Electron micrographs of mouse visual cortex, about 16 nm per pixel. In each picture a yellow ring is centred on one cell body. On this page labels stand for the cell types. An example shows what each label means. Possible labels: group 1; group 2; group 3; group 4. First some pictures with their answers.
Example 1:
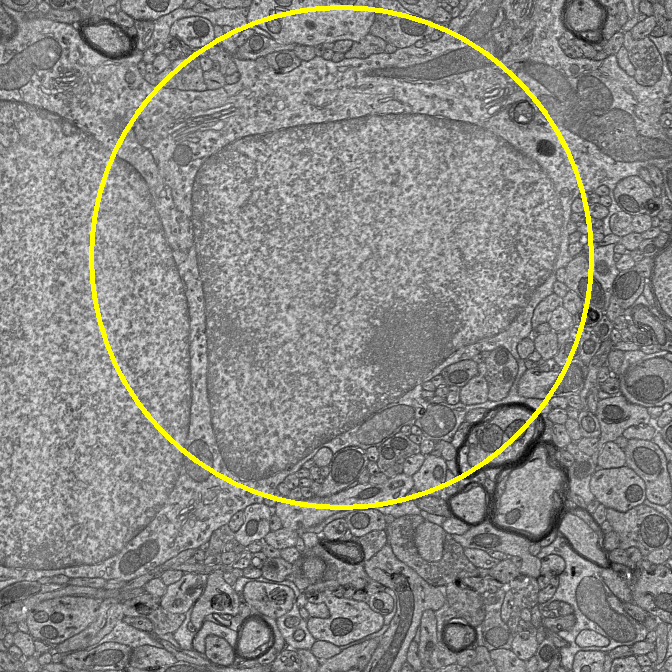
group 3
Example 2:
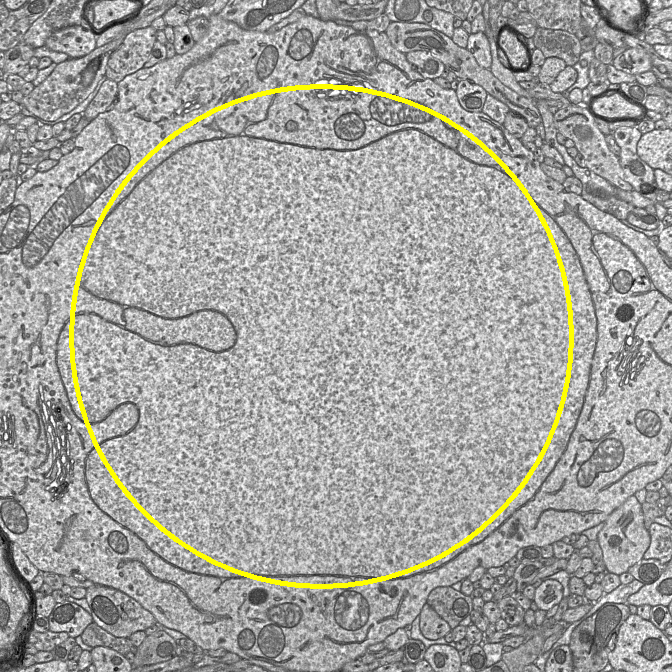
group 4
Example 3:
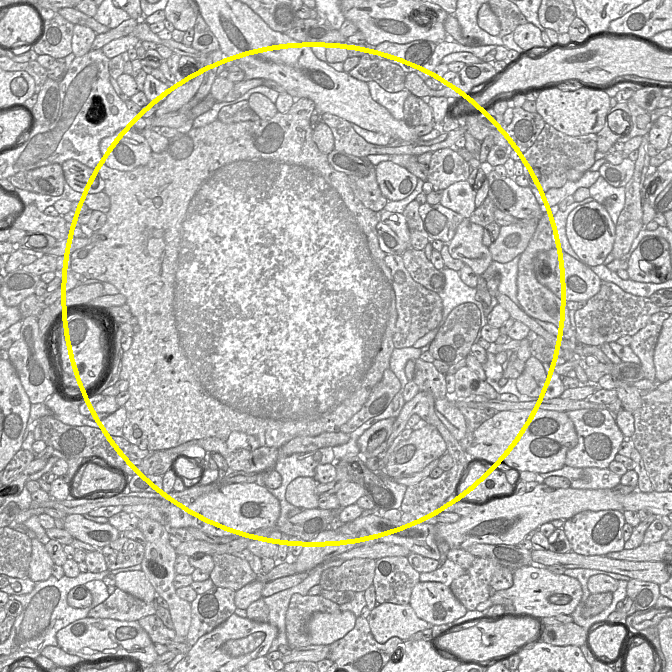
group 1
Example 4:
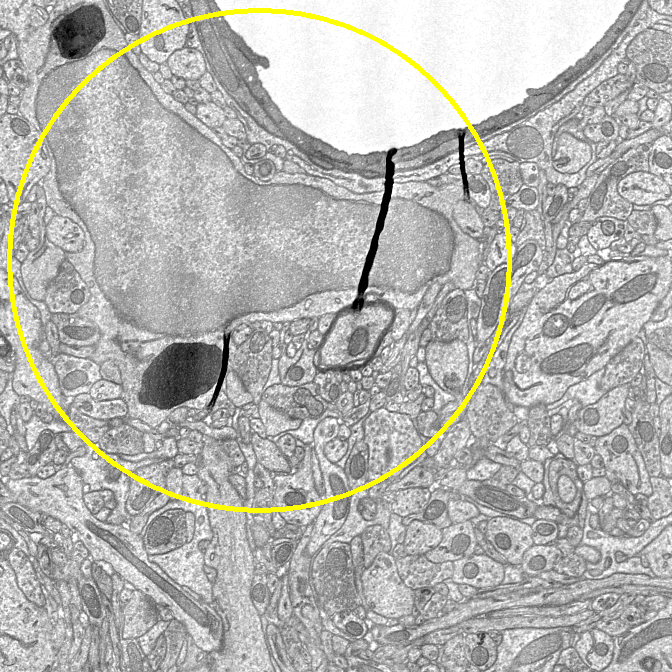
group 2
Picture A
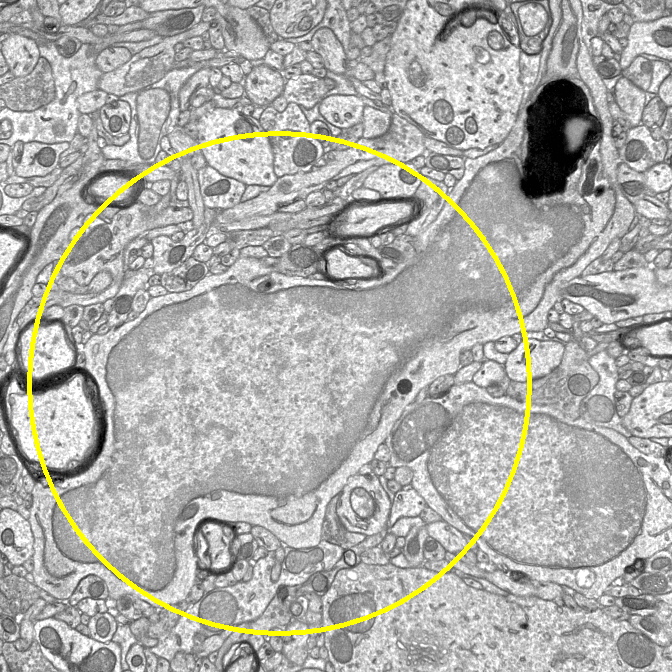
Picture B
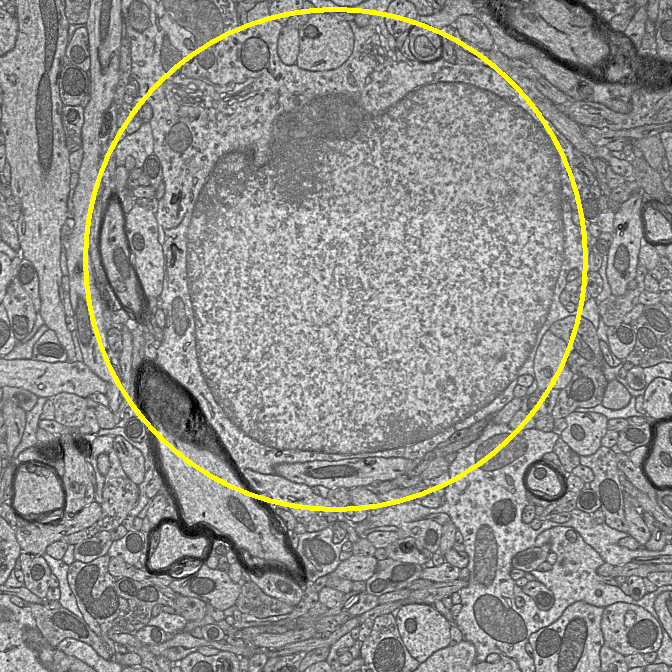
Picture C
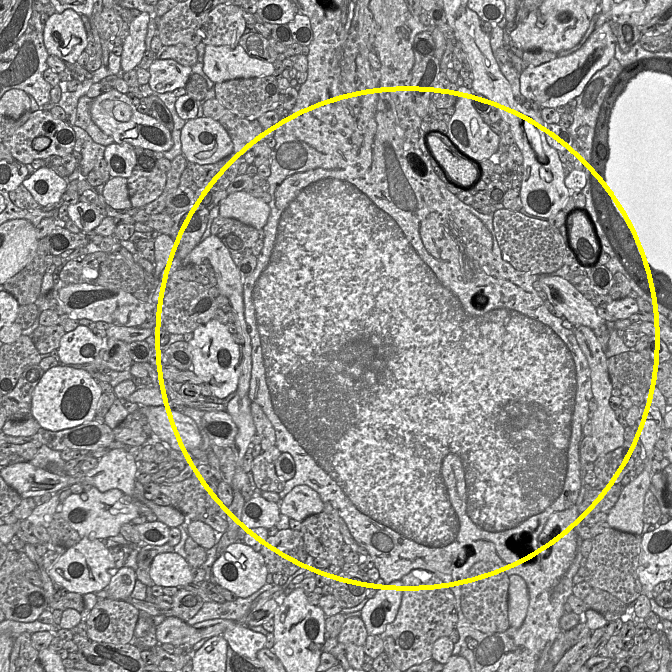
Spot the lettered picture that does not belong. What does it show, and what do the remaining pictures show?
A differs and shows group 2; the others show group 3.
